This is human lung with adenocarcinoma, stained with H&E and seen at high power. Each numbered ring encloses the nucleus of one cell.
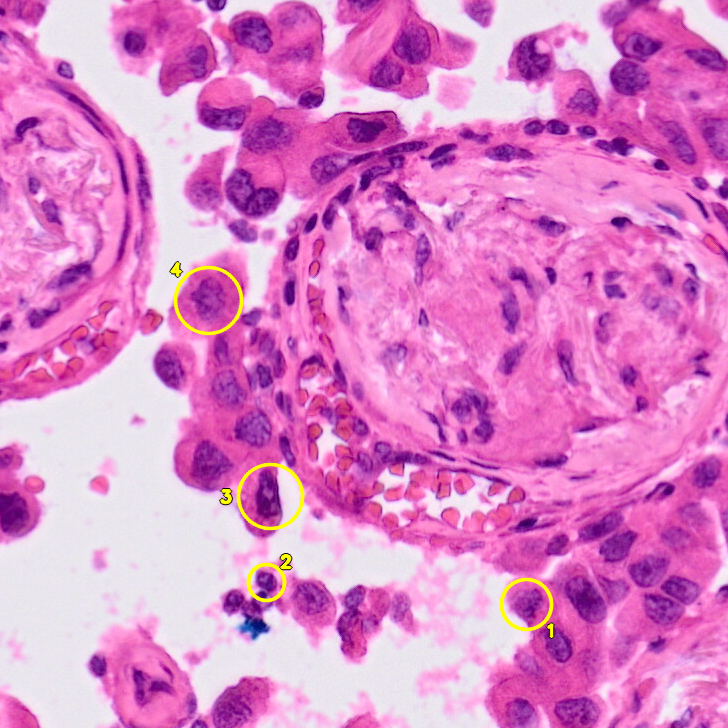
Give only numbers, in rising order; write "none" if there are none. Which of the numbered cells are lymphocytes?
2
